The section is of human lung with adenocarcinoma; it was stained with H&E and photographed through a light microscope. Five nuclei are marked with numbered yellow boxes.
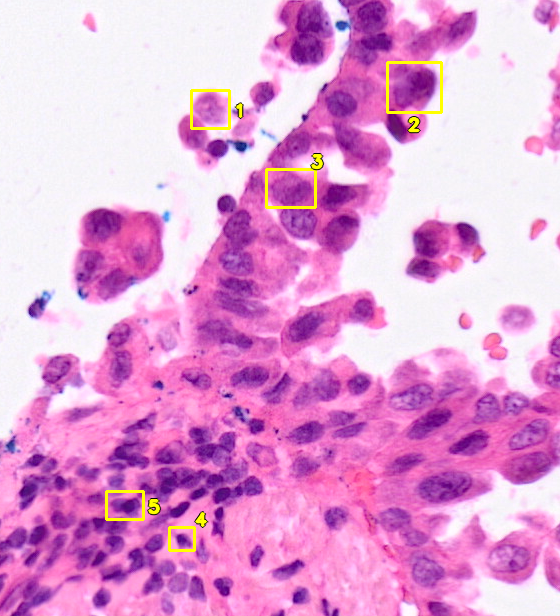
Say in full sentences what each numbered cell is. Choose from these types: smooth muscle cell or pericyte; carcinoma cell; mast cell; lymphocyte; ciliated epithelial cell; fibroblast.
Cell 1 is a carcinoma cell, cell 2 is a carcinoma cell, cell 3 is a carcinoma cell, cell 4 is a lymphocyte and cell 5 is a lymphocyte.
